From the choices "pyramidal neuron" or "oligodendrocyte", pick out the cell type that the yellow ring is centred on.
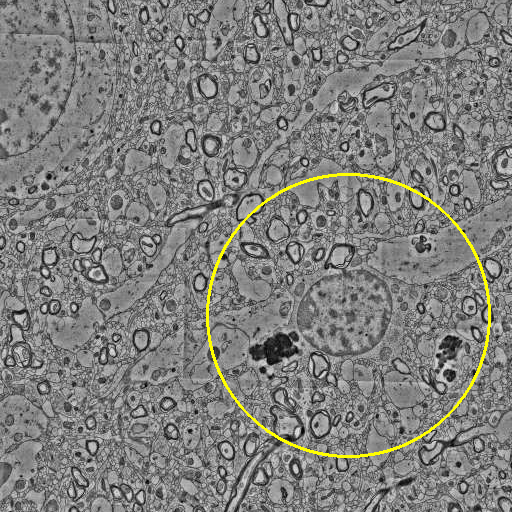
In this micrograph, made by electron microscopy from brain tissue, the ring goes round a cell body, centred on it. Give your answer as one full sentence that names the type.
The yellow ring is centred on an oligodendrocyte, whose cell body it encircles in the picture.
